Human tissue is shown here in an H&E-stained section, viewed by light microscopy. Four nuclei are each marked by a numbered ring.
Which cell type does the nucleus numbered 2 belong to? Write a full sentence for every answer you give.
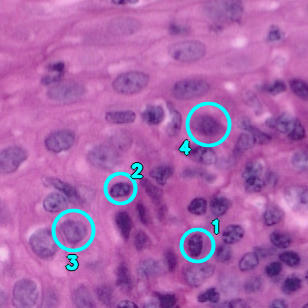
Belonging to a squamous epithelial cell is the nucleus that carries the number 2.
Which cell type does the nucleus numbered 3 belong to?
The marked cell bearing number 3 is a squamous epithelial cell.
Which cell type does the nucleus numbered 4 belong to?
The cell given label 4 is a squamous epithelial cell.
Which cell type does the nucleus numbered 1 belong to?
Identified as a plasma cell is the cell bearing the number 1.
